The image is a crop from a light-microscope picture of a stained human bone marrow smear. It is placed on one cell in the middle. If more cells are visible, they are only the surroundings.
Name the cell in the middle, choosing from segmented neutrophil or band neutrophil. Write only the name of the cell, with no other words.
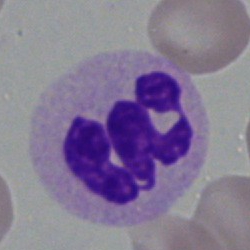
segmented neutrophil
